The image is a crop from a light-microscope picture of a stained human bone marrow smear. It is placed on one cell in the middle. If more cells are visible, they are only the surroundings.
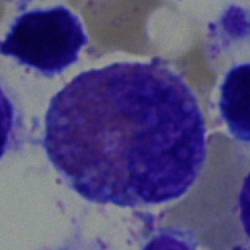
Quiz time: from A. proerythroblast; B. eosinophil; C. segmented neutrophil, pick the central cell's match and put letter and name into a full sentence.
Option B is correct, naming the cell in the middle as an eosinophil.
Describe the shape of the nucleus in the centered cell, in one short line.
Have a look at the nucleus, which is one compact mass, round, oval or kidney-shaped.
